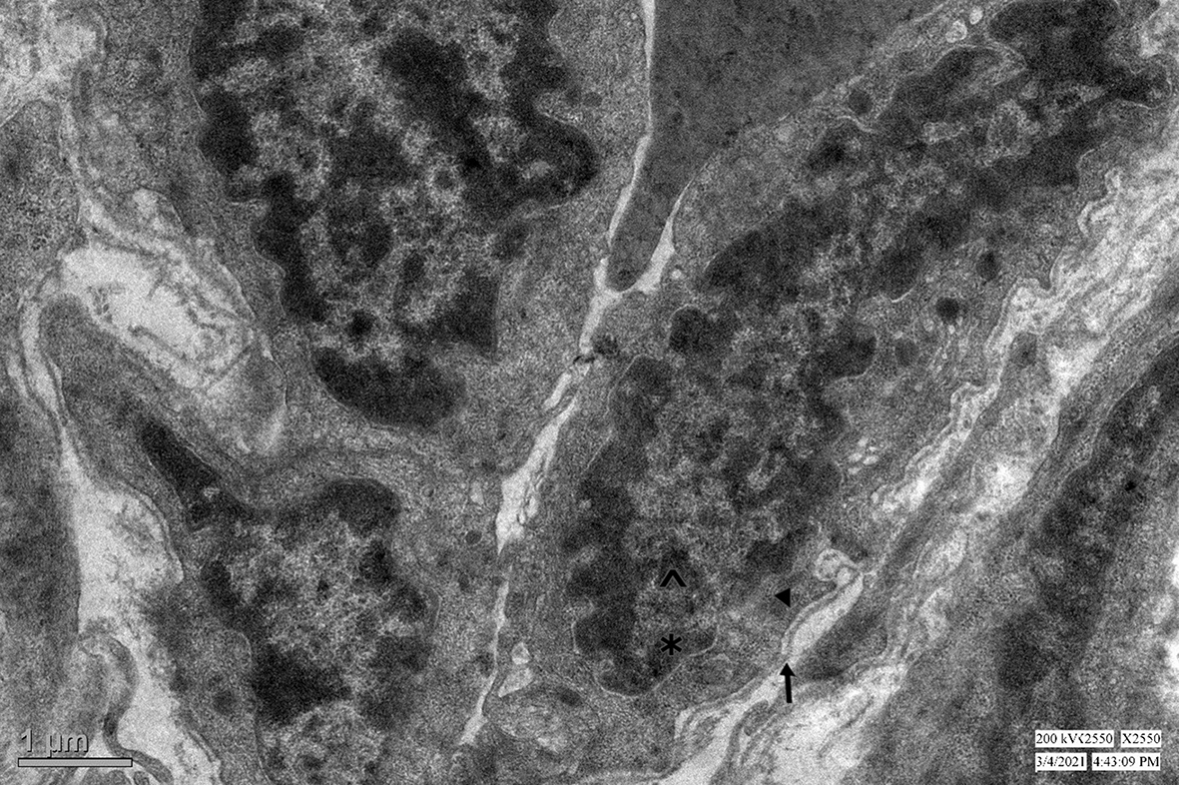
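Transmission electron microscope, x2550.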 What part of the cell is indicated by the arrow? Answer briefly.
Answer: External lamina.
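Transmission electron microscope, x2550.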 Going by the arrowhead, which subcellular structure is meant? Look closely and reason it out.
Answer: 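The arrowhead marks a denser zone of cytoplasm lying just beneath the cell membrane. The dense zone lies at the cell edge that faces the extracellular space.
Sub-plasmalemmal attachment plaques.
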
